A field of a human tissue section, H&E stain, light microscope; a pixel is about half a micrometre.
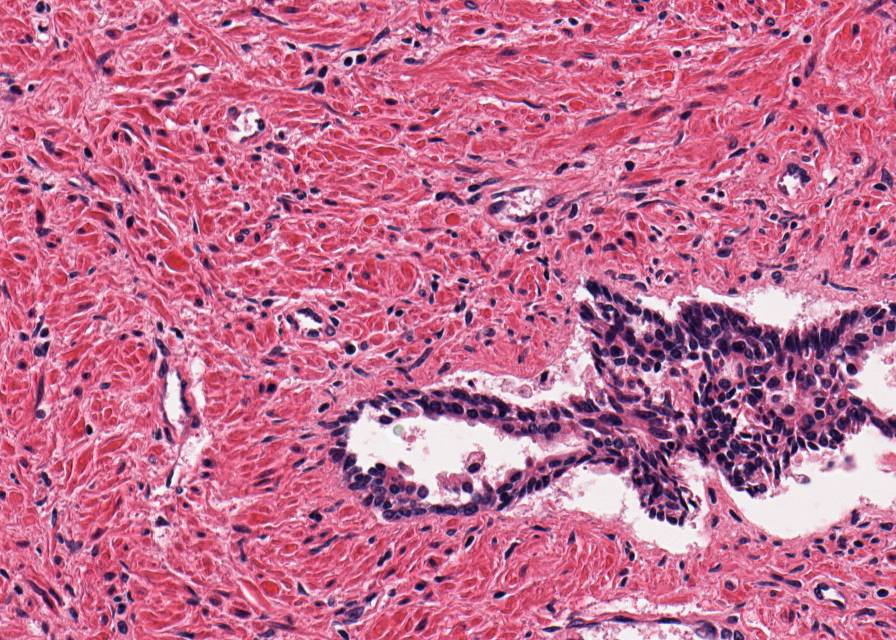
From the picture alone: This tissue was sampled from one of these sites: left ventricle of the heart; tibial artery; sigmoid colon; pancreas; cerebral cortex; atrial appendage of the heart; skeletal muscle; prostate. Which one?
prostate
